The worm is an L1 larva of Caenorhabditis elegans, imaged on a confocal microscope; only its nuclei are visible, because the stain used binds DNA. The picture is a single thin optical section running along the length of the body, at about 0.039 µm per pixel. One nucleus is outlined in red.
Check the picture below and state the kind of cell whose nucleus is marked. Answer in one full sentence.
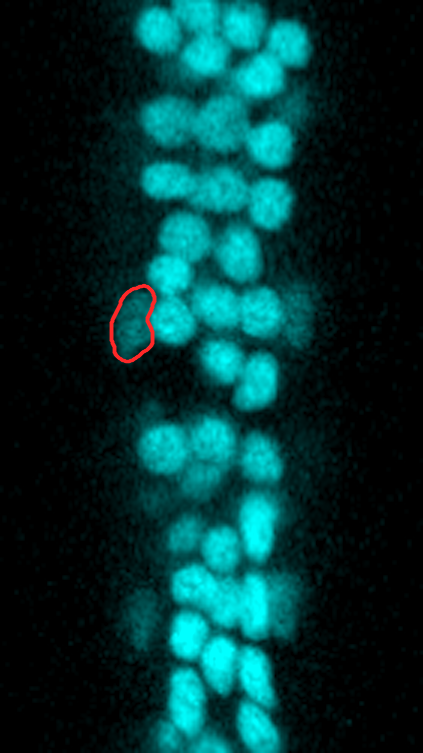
What is marked is the nucleus of a body wall muscle cell.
